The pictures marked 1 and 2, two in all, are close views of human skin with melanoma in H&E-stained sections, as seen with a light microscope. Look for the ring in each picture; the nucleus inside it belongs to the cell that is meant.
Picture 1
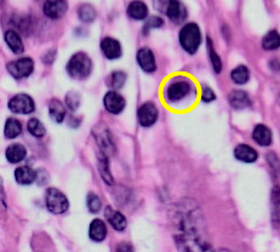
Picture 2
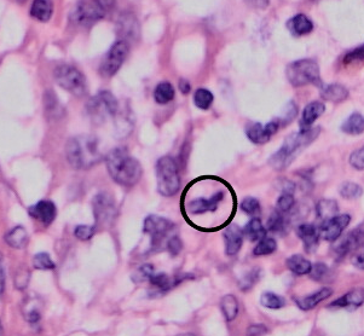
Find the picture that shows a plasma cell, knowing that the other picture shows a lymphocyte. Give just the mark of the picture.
1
